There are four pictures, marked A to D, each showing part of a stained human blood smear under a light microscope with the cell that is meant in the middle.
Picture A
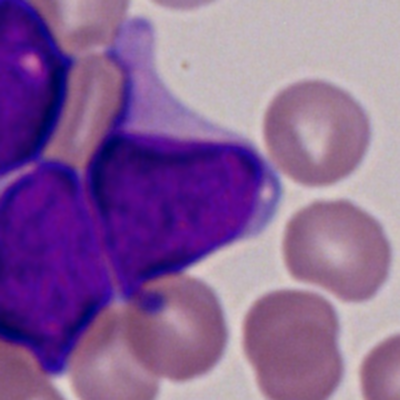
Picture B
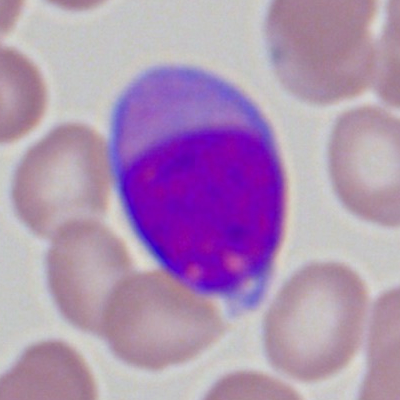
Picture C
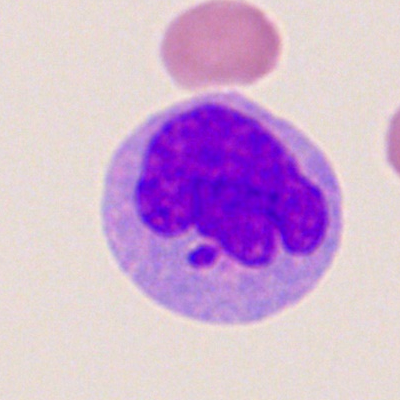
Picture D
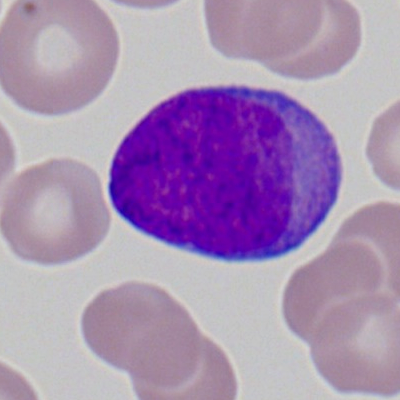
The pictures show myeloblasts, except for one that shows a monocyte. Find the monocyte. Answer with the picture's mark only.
C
